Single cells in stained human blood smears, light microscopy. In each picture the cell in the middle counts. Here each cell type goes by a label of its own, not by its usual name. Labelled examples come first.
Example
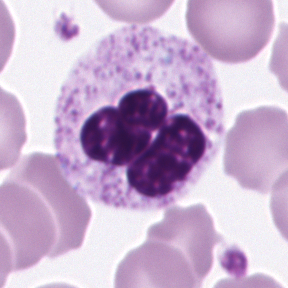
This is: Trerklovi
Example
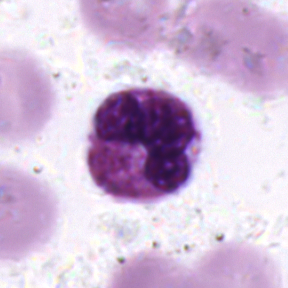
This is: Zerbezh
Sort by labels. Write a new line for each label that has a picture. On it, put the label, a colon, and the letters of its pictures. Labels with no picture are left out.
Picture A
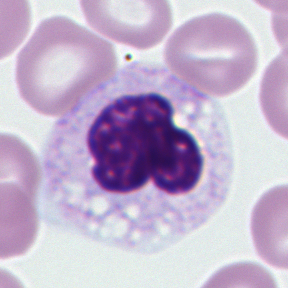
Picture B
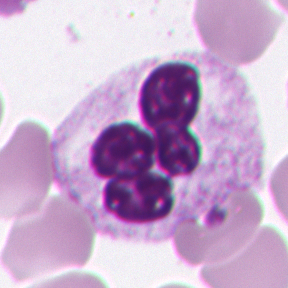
Trerklovi: A, B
